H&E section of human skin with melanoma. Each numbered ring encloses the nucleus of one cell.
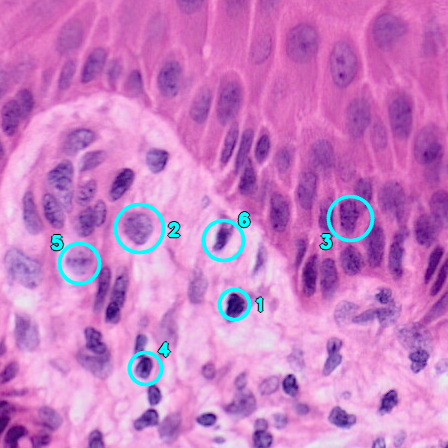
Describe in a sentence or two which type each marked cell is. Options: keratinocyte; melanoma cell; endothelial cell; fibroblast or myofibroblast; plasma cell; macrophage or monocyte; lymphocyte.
Cell 1 is a lymphocyte, cell 2 is a fibroblast or myofibroblast, cell 3 is a keratinocyte, cell 4 is a lymphocyte, cell 5 is an endothelial cell and cell 6 is a fibroblast or myofibroblast.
